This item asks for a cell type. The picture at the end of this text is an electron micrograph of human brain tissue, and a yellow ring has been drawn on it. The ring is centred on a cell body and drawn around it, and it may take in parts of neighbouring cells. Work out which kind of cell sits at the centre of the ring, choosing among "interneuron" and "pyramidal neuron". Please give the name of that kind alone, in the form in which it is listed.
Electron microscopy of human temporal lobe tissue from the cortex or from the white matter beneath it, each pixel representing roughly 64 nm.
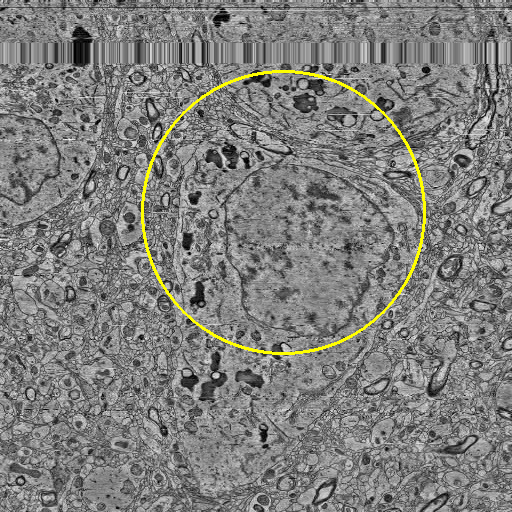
interneuron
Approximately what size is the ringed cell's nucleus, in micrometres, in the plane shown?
In this plane the ringed cell's nucleus is roughly 11 micrometres across.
